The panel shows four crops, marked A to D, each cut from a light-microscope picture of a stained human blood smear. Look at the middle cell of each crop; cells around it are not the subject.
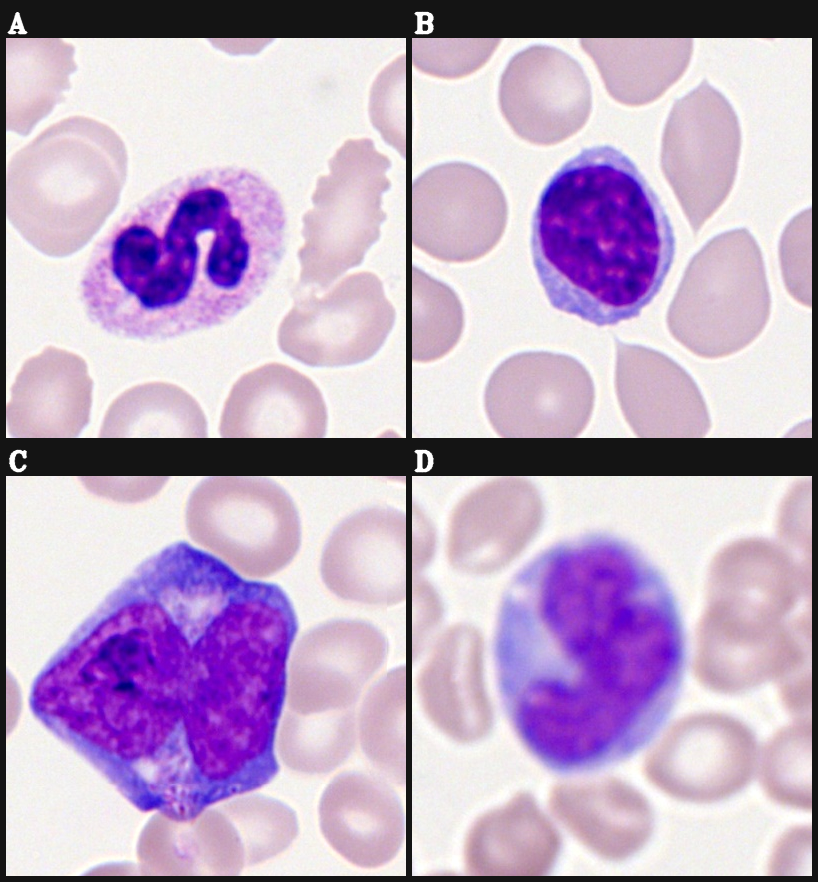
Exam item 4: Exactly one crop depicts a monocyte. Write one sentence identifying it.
Crop D is the crop whose central cell is a monocyte.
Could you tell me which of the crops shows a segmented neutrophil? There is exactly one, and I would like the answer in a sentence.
Of the labelled crops, the one that shows a segmented neutrophil is crop A.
